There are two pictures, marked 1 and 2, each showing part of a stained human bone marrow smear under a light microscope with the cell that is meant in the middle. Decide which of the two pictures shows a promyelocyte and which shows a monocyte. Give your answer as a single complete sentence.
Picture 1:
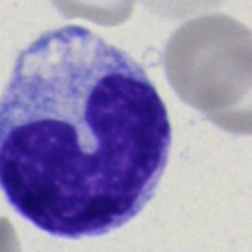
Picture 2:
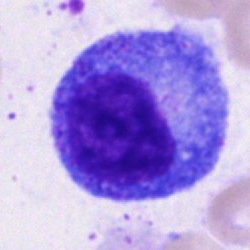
Picture 2 shows a promyelocyte, while picture 1 shows a monocyte.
